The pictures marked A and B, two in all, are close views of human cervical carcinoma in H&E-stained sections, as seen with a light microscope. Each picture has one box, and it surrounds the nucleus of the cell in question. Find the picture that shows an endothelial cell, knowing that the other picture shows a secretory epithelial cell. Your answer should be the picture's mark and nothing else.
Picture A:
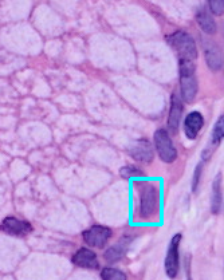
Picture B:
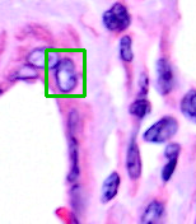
B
